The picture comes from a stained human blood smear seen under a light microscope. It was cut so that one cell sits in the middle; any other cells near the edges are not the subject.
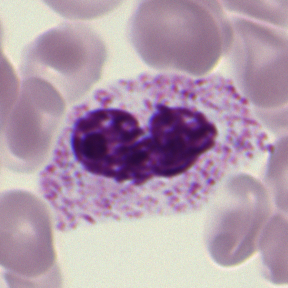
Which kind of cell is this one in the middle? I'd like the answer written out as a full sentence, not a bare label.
The central cell, amid any neighbouring cells, is a segmented neutrophil.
